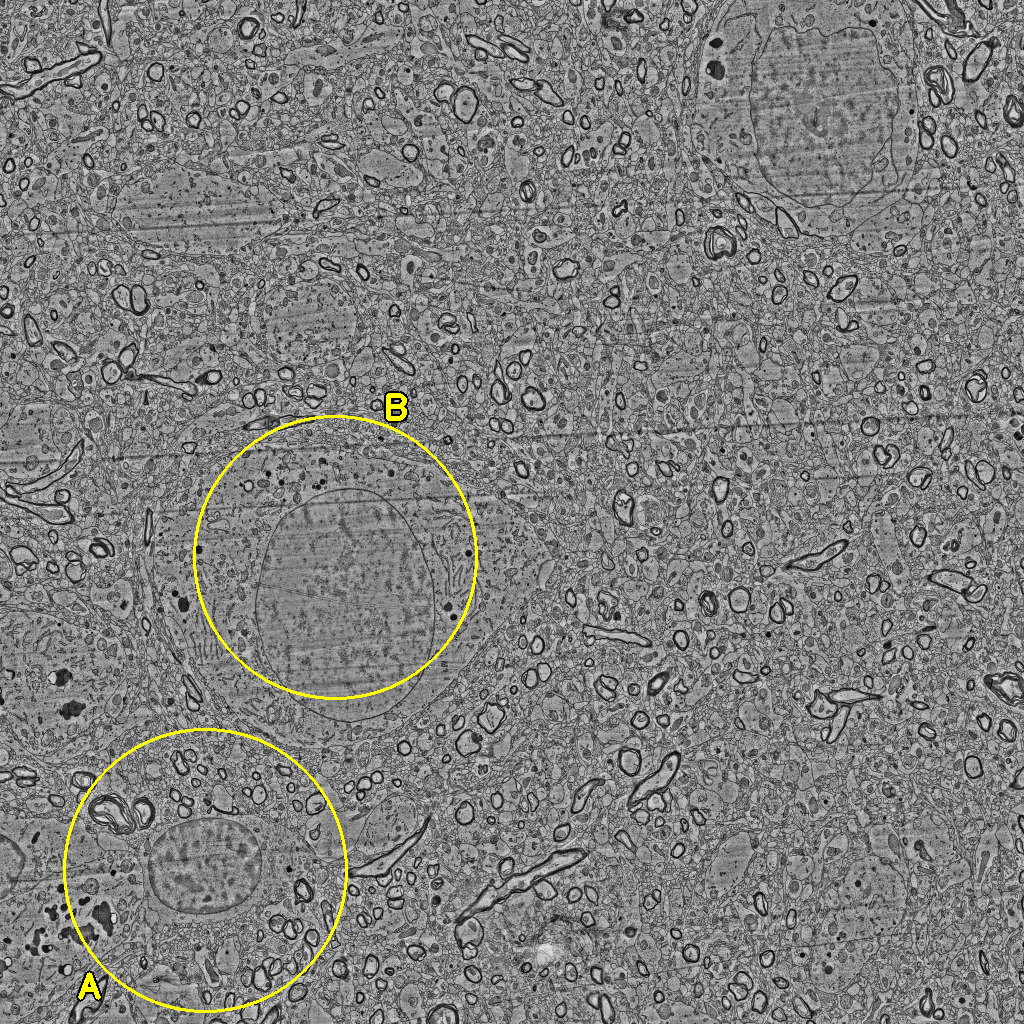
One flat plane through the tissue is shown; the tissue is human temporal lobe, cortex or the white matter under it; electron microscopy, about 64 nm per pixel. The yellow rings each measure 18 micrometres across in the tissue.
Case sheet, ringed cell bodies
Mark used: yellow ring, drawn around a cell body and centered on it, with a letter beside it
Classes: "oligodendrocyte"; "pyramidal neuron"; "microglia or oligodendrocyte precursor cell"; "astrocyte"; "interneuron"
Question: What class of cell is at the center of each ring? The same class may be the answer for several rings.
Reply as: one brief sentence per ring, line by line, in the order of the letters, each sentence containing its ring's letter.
Ring A has an oligodendrocyte at its center.
Ring B has a pyramidal neuron at its center.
